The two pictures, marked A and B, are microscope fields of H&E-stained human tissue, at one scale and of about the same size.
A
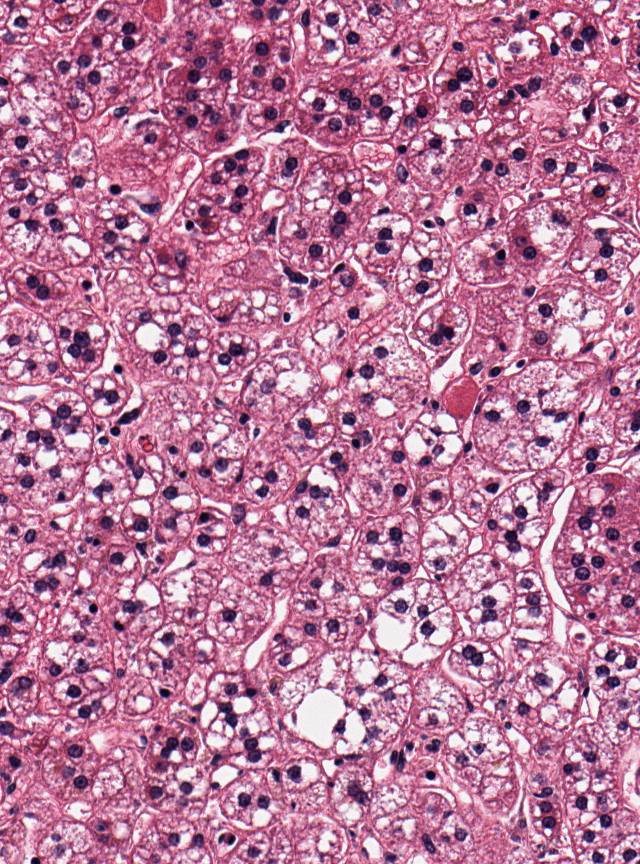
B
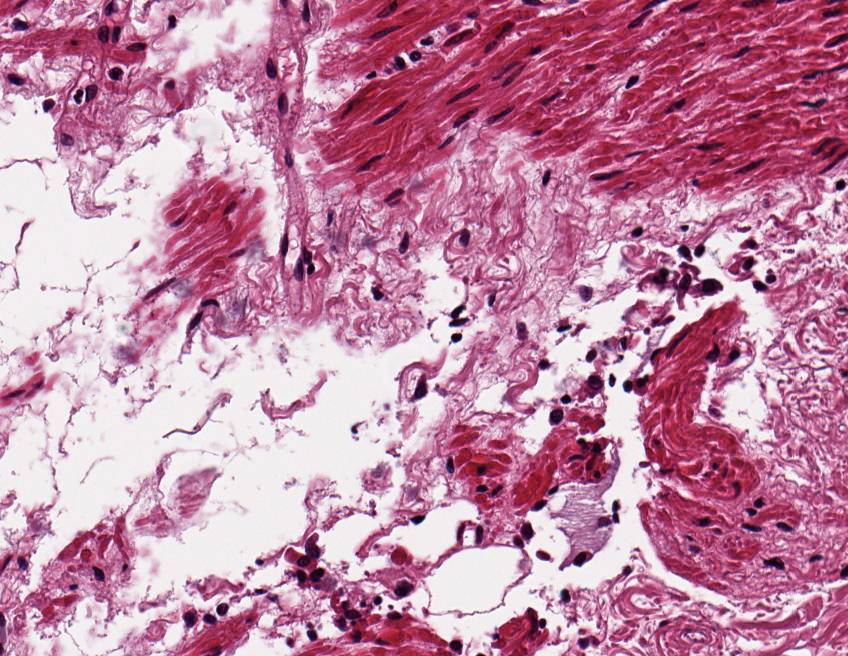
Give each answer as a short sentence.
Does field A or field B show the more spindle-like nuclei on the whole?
Longer, more slender nuclei lie in field B.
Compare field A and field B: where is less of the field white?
Less of field A is empty and white.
